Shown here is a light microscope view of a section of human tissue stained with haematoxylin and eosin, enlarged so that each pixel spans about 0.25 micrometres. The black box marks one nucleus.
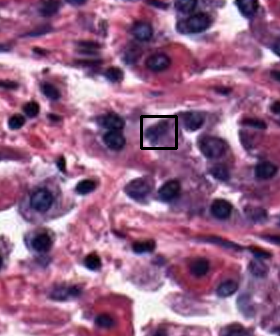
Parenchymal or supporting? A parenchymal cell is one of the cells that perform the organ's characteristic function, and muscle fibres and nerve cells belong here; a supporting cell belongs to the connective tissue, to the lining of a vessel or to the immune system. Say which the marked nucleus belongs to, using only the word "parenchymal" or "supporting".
parenchymal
